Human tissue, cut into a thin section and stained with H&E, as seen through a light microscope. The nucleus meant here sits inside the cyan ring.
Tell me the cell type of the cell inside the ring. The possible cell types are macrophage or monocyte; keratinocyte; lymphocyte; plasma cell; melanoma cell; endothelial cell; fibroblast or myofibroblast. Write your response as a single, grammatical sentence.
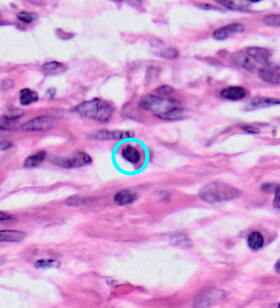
It is as a plasma cell that the cell inside the ring is classified.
